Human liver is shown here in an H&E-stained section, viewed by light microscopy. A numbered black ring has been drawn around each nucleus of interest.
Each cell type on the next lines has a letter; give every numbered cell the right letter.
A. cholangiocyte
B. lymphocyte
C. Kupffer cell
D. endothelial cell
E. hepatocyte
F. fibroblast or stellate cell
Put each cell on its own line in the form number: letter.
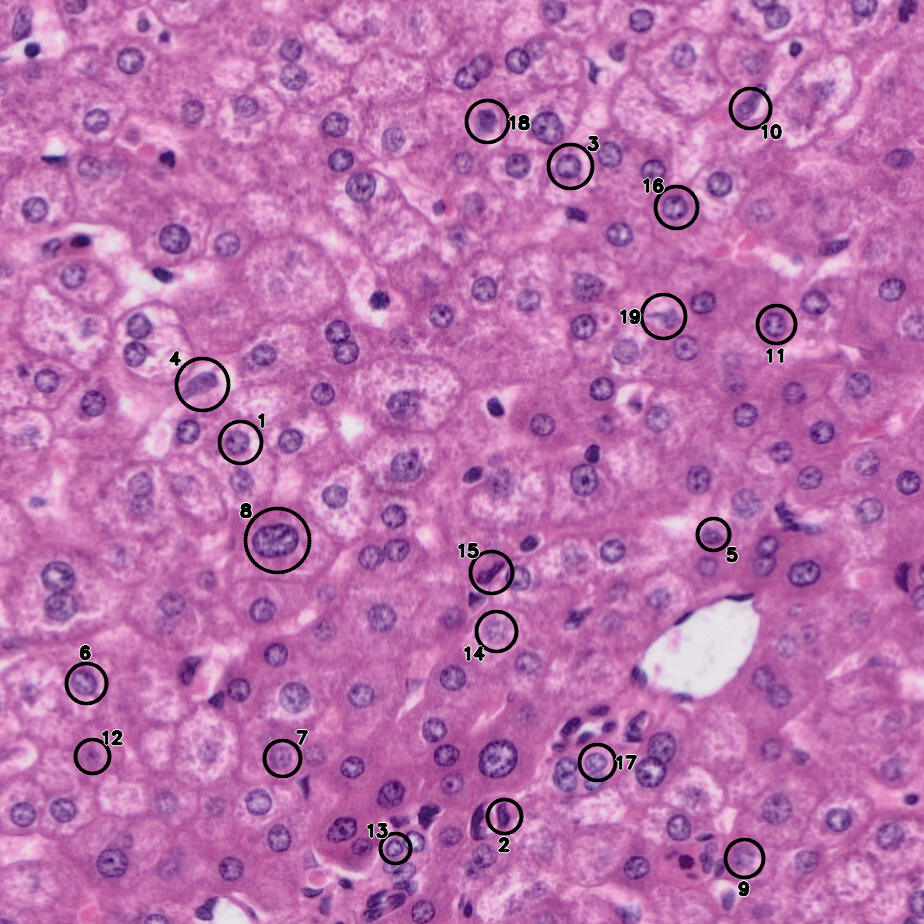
1: E
2: F
3: E
4: C
5: F
6: E
7: E
8: E
9: E
10: C
11: E
12: E
13: A
14: E
15: F
16: E
17: A
18: D
19: D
